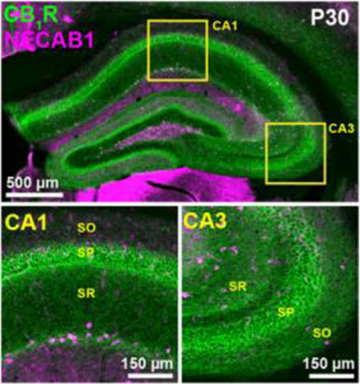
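The green signal is densest as a band surrounding the pyramidal cell layer along the curved cornu ammonis and in the dentate region, giving the layer a bright outline. In the enlarged fields, small round magenta cell bodies are scattered singly, lying mainly in the layers above and below the pyramidal layer, some at its border. The magenta cells are few and isolated, unlike the continuous green band of fine puncta around the principal cell bodies.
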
